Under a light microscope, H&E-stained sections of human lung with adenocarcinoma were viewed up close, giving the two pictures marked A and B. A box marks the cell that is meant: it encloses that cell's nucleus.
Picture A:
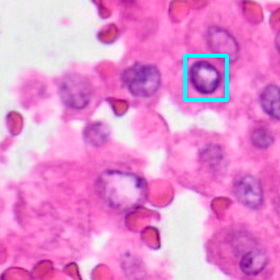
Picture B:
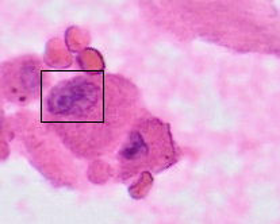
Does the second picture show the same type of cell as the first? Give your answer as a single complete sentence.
Yes, the two pictures both show “macrophages or monocytes”.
